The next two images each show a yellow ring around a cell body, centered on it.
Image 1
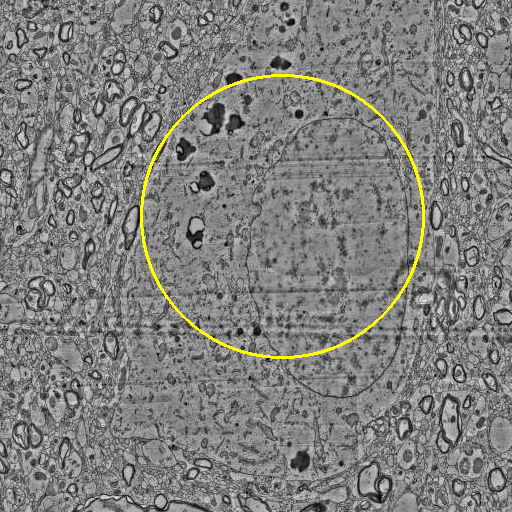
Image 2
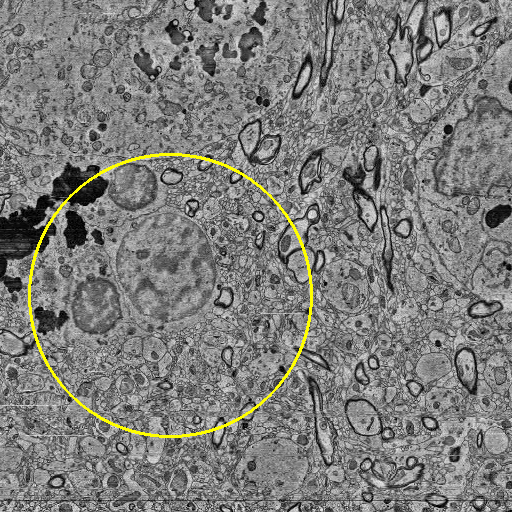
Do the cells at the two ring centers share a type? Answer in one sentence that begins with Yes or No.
No, across the two images the cells at the ring centers are of two types.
